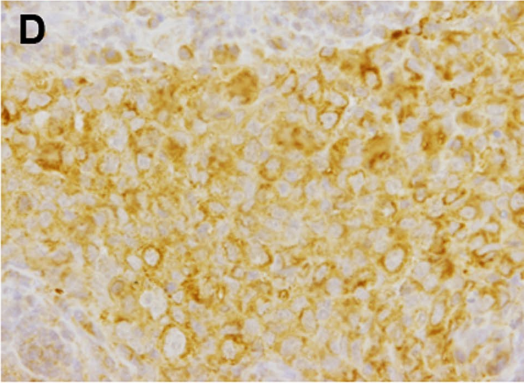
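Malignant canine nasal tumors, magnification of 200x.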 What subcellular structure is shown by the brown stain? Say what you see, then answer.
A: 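Brown stain fills the cytoplasm of the tumor cells diffusely. Nuclei appear as paler round areas within the stained cells.
Answer: cytoplasmic staining pattern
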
